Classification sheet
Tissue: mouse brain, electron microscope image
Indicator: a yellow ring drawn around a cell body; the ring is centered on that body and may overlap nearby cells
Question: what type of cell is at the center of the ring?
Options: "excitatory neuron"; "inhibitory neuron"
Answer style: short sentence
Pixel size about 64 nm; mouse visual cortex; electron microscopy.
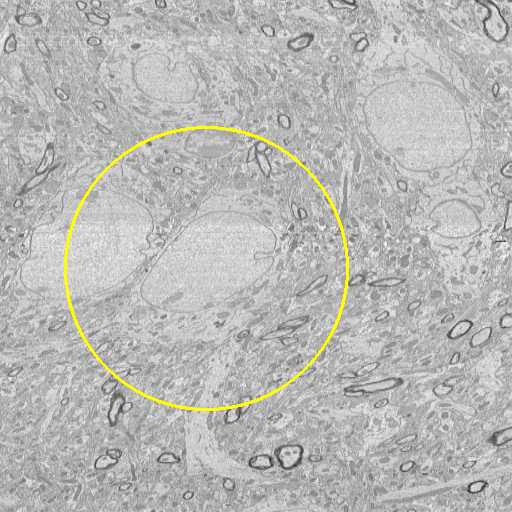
At the ring's center is an excitatory neuron.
